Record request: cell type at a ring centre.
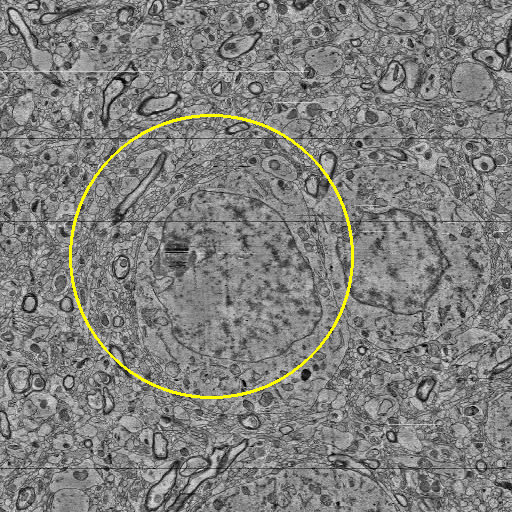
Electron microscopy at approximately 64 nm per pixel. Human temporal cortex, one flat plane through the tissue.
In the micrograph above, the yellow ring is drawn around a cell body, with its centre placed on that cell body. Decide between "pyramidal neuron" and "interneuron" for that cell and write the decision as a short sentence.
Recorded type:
The cell centred in the yellow ring is a pyramidal neuron.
